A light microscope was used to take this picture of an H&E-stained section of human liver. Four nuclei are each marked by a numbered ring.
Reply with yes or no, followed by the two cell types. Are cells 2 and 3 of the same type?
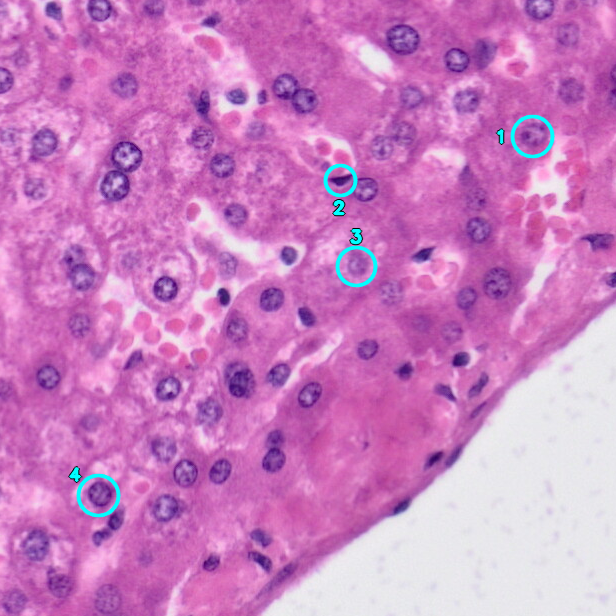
No, cell 3 is a hepatocyte, and cell 2 is a fibroblast or stellate cell.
